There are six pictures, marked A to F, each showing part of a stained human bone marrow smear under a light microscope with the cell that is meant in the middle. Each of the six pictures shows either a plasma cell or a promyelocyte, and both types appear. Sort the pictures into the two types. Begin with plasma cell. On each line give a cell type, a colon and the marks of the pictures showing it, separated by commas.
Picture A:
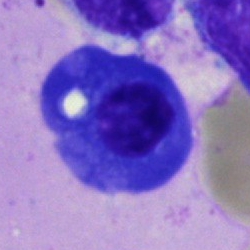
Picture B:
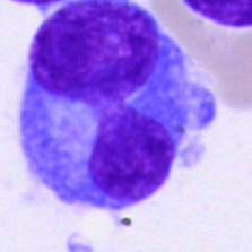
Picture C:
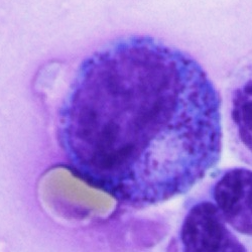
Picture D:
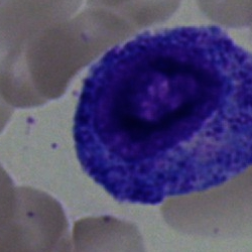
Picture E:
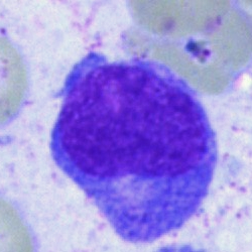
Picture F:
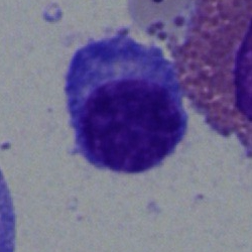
plasma cell: A, B, F
promyelocyte: C, D, E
